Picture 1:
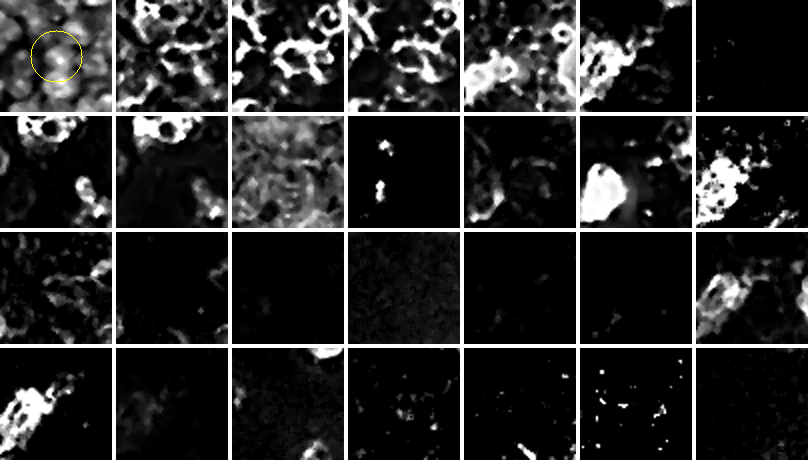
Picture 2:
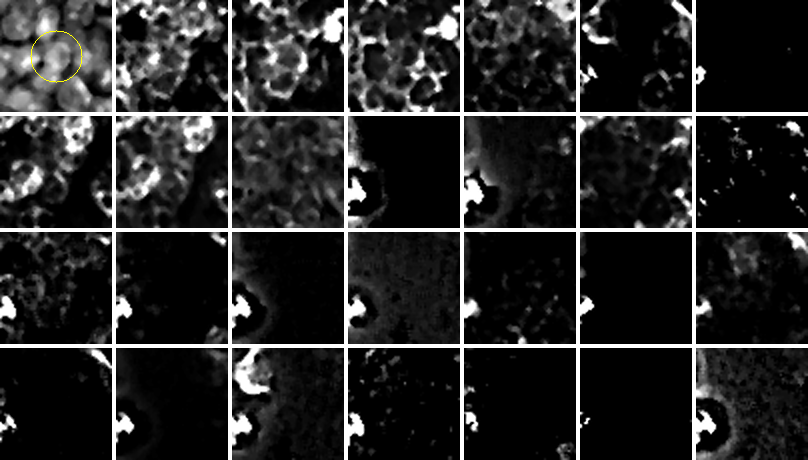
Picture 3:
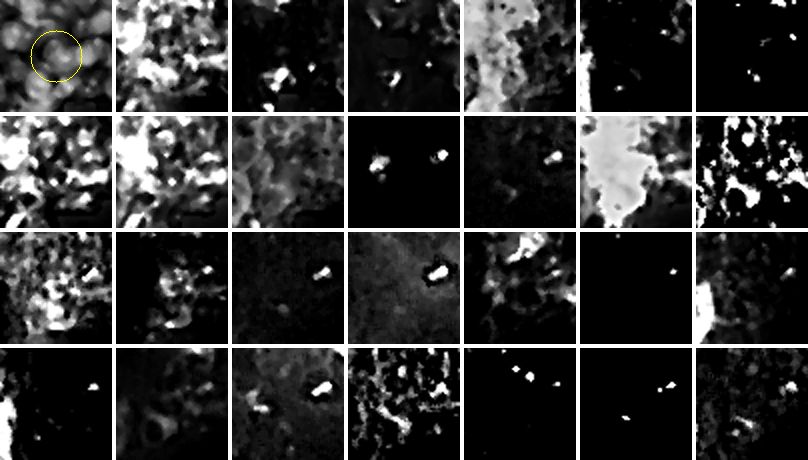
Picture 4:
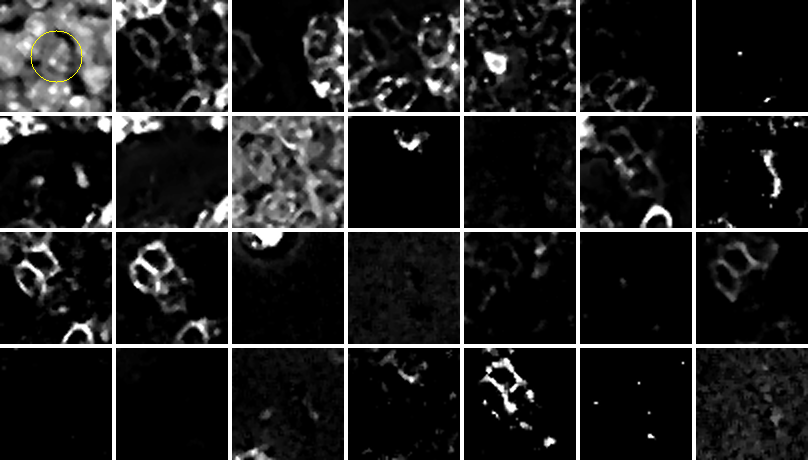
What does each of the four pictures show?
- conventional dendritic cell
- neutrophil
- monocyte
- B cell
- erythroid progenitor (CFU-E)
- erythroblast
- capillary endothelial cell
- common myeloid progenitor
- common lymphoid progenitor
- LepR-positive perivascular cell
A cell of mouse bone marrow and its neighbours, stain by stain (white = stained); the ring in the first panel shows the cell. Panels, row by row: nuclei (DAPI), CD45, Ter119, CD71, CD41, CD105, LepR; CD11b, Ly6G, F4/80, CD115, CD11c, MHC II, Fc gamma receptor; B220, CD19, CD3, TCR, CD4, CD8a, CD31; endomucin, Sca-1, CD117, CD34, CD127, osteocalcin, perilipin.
(1) capillary endothelial cell
(2) neutrophil
(3) B cell
(4) common lymphoid progenitor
